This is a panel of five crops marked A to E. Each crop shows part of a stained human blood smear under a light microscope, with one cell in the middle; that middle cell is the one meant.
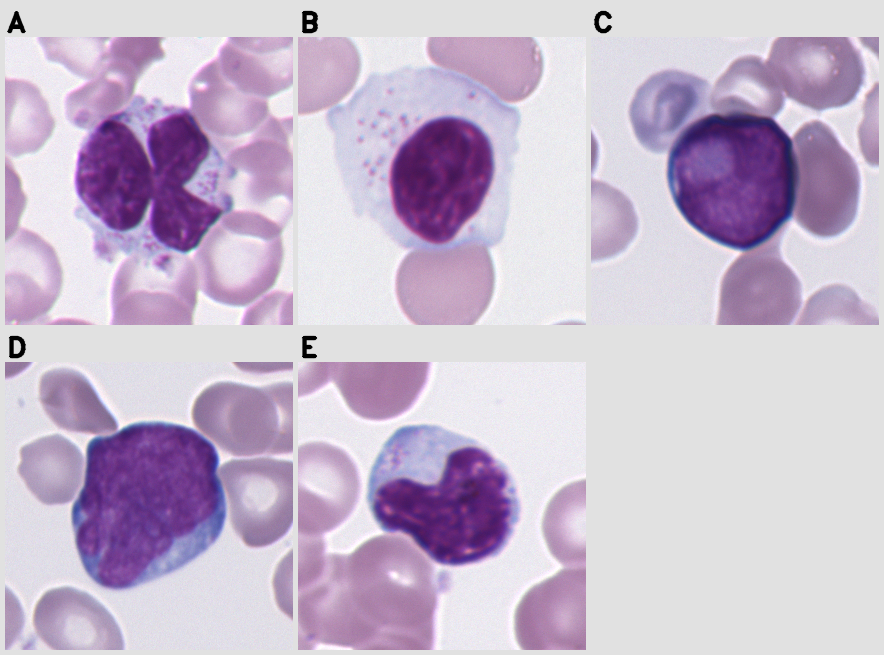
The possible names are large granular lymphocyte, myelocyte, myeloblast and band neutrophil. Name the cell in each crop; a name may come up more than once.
A: large granular lymphocyte
B: large granular lymphocyte
C: myeloblast
D: myeloblast
E: large granular lymphocyte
